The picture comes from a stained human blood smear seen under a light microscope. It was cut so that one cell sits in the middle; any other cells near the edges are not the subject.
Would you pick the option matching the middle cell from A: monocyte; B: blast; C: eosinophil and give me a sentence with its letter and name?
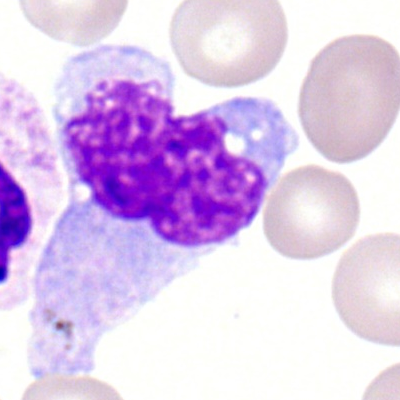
The correct choice is option A, which identifies the middle cell as a monocyte.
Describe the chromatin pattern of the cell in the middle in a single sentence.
The chromatin is fine throughout, without coarse clumps.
